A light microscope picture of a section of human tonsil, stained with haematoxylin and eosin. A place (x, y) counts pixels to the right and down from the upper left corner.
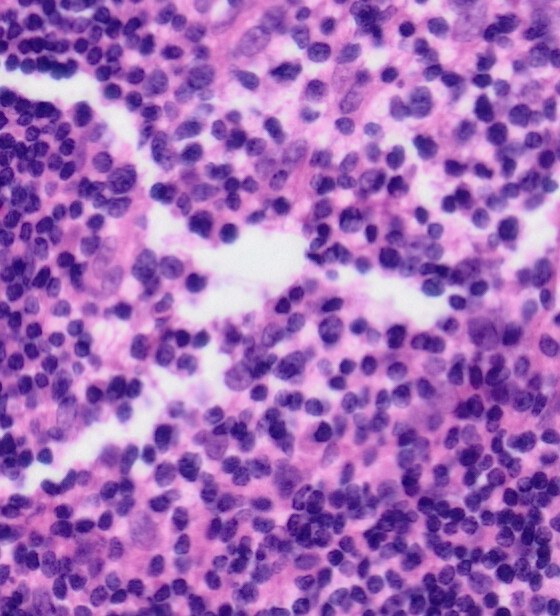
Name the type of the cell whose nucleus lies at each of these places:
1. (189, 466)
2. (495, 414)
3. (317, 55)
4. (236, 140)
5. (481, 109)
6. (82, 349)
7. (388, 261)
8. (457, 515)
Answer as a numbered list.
1. proliferating B cell
2. small lymphocyte
3. proliferating B cell
4. proliferating B cell
5. proliferating B cell
6. small lymphocyte
7. proliferating B cell
8. small lymphocyte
